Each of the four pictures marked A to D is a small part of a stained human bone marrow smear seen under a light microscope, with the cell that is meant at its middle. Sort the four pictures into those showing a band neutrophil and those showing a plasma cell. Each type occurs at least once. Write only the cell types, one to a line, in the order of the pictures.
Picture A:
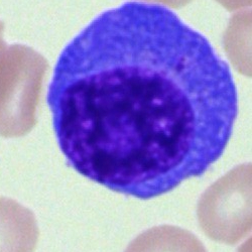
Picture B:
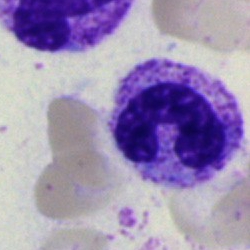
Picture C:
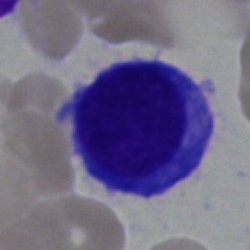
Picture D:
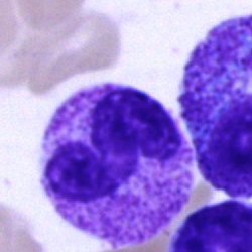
plasma cell
band neutrophil
plasma cell
band neutrophil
